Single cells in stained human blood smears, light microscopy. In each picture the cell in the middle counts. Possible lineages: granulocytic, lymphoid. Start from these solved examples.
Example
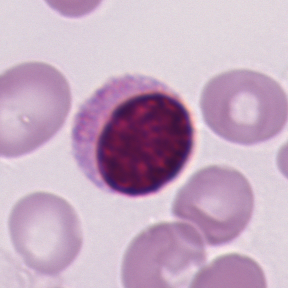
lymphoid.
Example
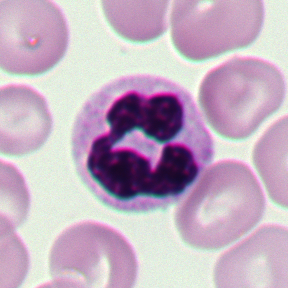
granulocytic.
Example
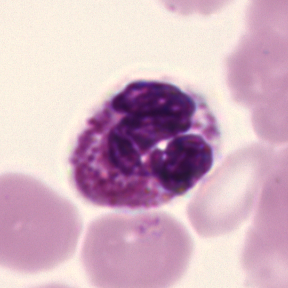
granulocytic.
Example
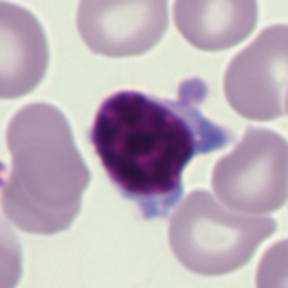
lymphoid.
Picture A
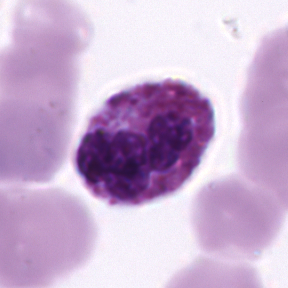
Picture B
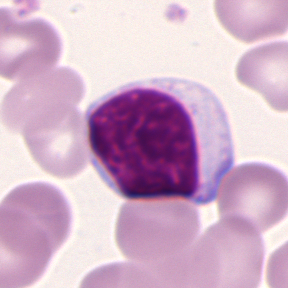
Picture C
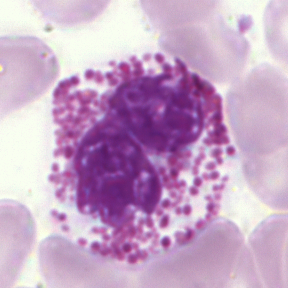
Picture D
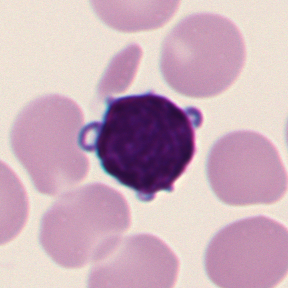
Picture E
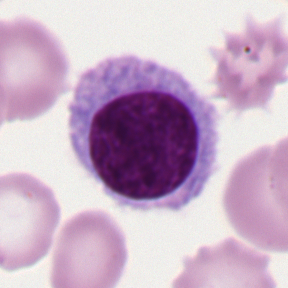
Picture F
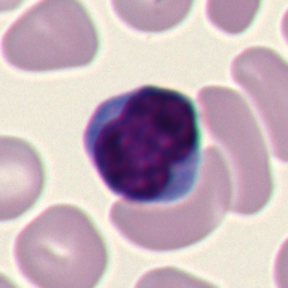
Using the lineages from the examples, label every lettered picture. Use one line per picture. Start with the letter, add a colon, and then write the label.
A: granulocytic.
B: lymphoid.
C: granulocytic.
D: lymphoid.
E: lymphoid.
F: lymphoid.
